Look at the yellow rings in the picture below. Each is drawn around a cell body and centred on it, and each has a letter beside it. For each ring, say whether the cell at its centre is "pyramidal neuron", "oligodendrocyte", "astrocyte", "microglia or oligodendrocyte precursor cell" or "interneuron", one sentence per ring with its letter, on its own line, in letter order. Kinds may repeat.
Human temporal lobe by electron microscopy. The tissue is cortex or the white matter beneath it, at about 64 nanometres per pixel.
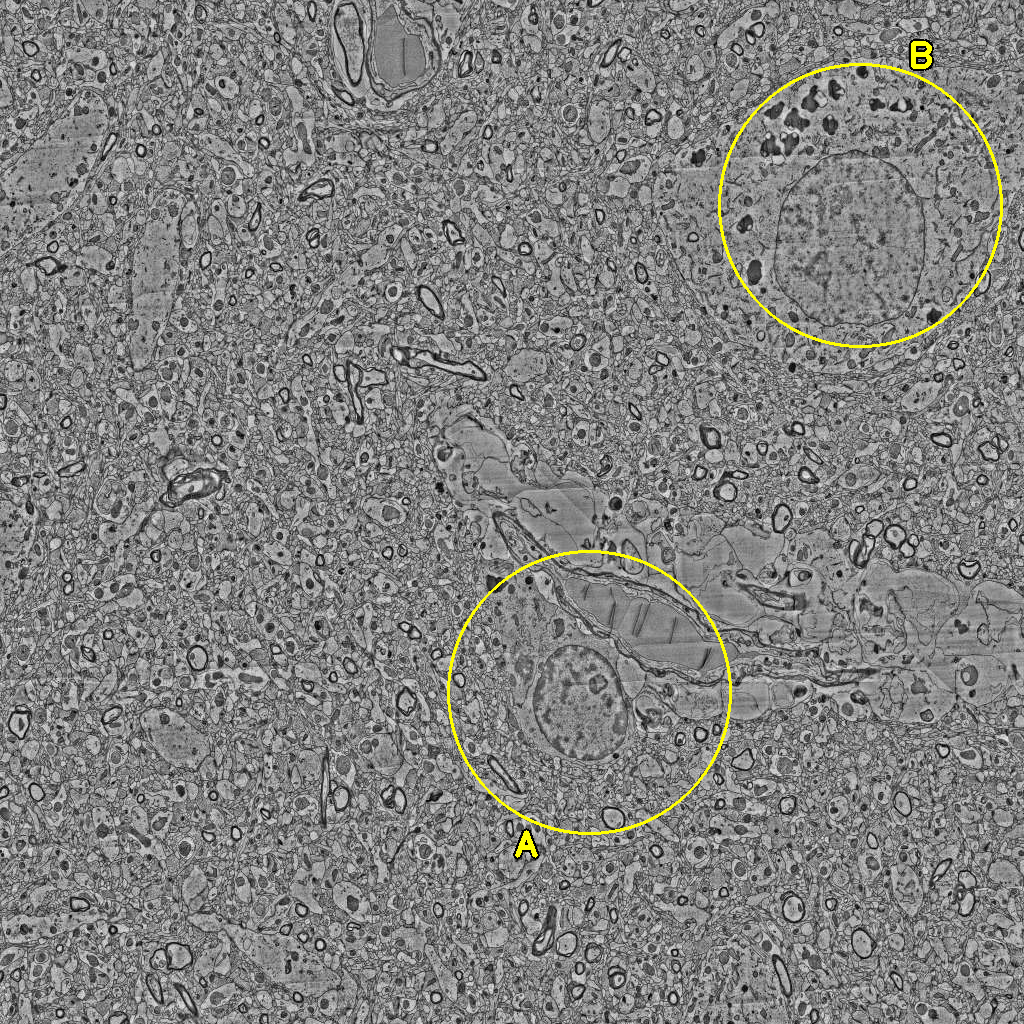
The centred cell of ring A is an oligodendrocyte.
The centred cell of ring B is a pyramidal neuron.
